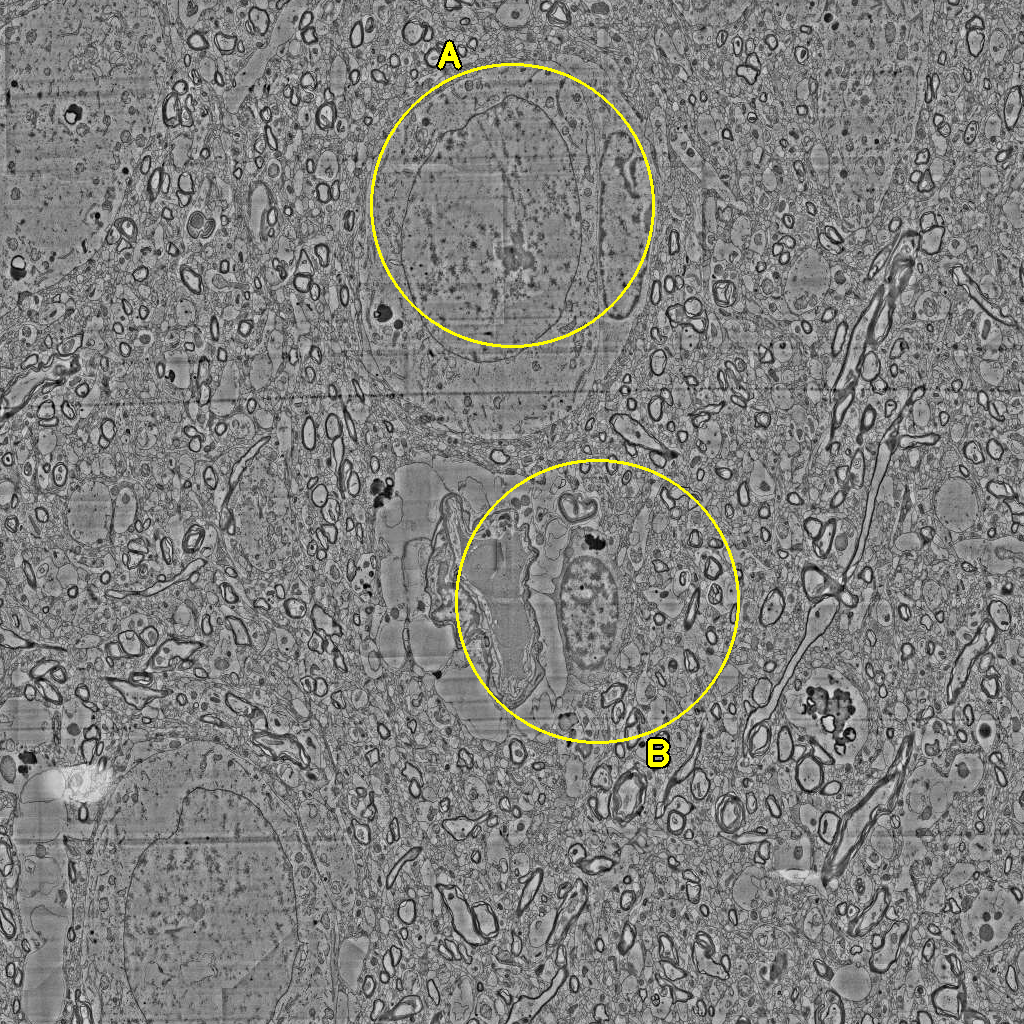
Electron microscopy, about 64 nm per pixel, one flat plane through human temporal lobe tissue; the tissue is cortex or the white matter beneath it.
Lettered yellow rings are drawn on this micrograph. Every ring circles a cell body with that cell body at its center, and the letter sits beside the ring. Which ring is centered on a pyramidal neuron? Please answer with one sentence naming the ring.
Ring A has it at its center.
